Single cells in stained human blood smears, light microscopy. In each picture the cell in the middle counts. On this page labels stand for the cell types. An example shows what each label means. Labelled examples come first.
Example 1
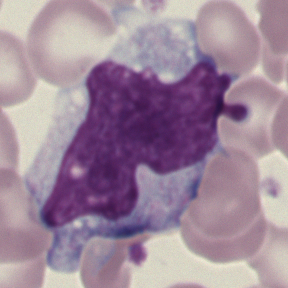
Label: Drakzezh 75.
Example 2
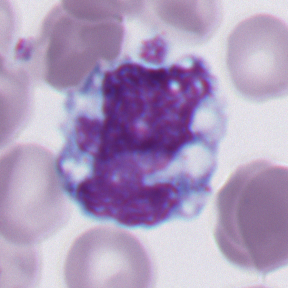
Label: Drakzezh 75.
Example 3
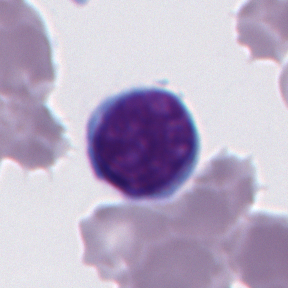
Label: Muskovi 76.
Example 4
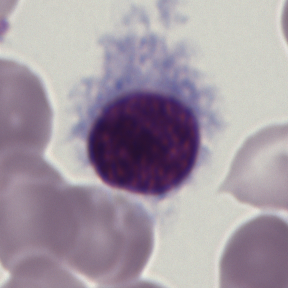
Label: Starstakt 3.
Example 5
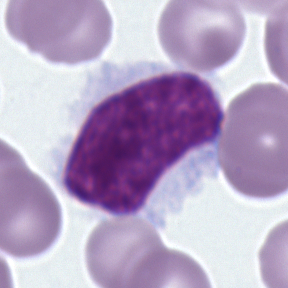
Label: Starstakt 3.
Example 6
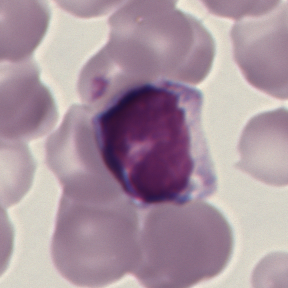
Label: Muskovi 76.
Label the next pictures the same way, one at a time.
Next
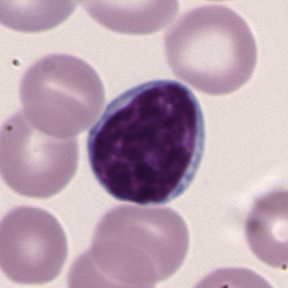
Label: Muskovi 76.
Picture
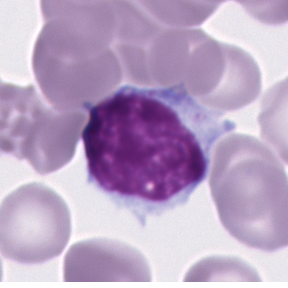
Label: Muskovi 76.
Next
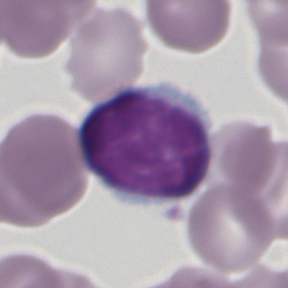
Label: Muskovi 76.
